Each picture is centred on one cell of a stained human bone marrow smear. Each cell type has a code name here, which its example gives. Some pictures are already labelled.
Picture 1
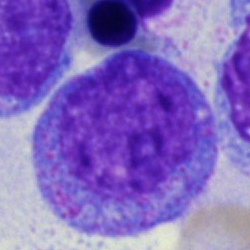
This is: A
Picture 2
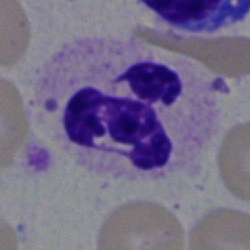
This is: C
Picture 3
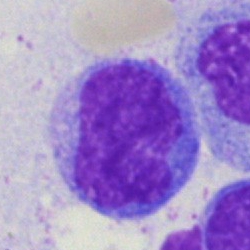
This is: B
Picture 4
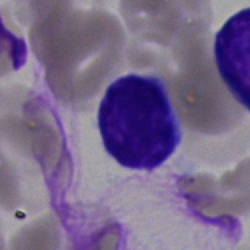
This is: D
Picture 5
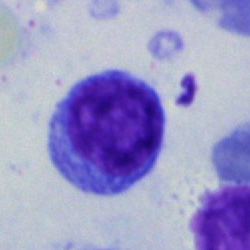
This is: D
